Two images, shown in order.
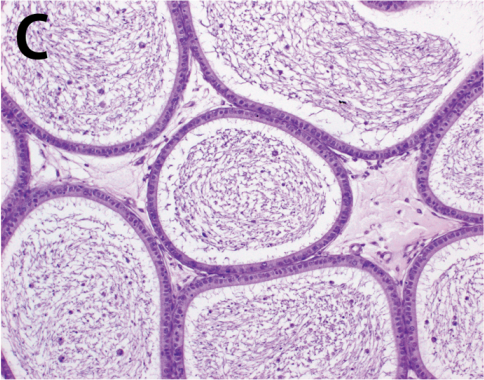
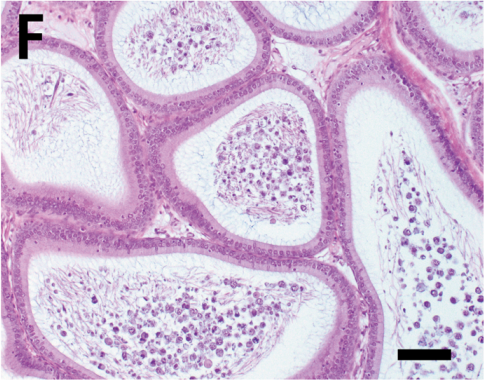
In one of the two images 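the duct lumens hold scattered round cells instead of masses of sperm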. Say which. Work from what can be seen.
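The second image. Second image: lumens contain loose round cells with dark nuclei and little fibrillar material. First image: lumens are filled with fibrillar sperm masses with only a few round cells.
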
